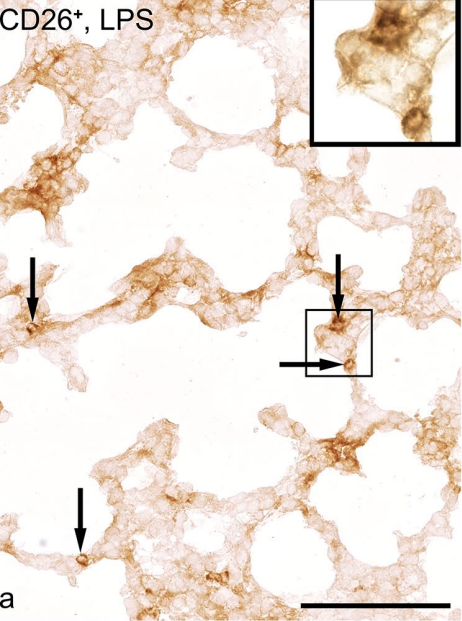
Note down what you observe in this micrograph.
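Lung parenchyma with large, rounded, empty air spaces bordered by thin alveolar septa, with a few scattered inflammatory cells. The septa are lightly and diffusely brown, with a vacuolated, foamy appearance. A few small, round cells are stained a more intense brown and sit within or on the septa. These cells are sparse and widely separated across the field.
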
